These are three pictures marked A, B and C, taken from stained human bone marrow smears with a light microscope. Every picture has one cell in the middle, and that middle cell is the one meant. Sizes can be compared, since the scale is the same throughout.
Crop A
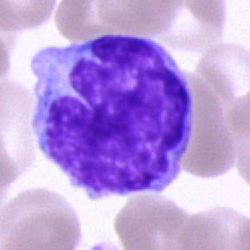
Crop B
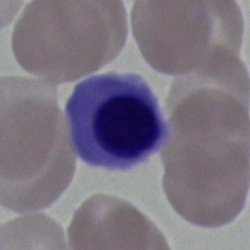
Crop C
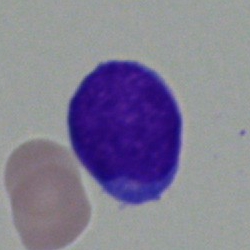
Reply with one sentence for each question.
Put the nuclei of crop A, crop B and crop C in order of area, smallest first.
From the smallest up, the order is B, C, A.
